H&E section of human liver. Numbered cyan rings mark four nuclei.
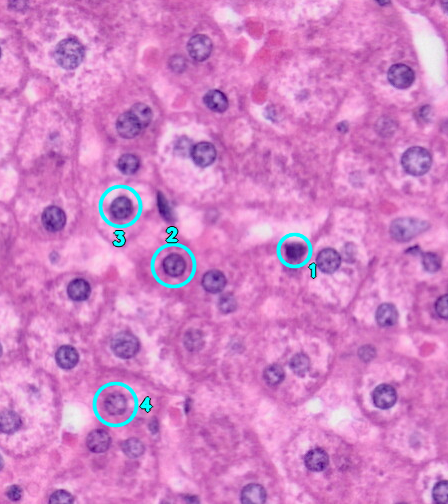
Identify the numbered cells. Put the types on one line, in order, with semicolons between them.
fibroblast or stellate cell; hepatocyte; hepatocyte; hepatocyte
